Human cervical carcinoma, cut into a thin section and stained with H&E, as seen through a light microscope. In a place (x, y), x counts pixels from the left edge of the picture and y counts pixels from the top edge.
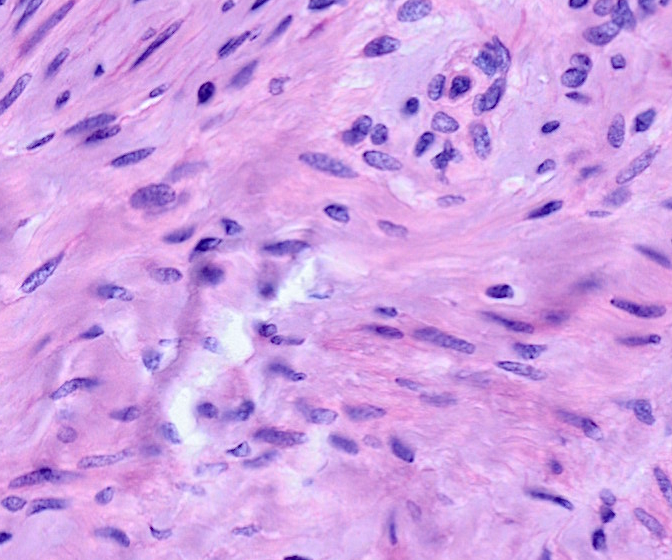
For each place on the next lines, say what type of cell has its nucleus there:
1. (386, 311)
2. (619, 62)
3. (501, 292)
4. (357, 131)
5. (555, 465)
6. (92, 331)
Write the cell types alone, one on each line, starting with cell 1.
fibroblast
fibroblast
lymphocyte
fibroblast
smooth muscle cell
fibroblast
